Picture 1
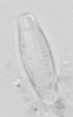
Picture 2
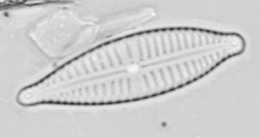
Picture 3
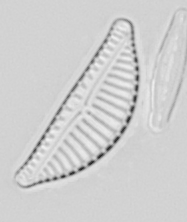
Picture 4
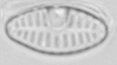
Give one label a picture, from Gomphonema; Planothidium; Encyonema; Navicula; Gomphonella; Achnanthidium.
Picture 1: Achnanthidium
Picture 2: Gomphonema
Picture 3: Encyonema
Picture 4: Planothidium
